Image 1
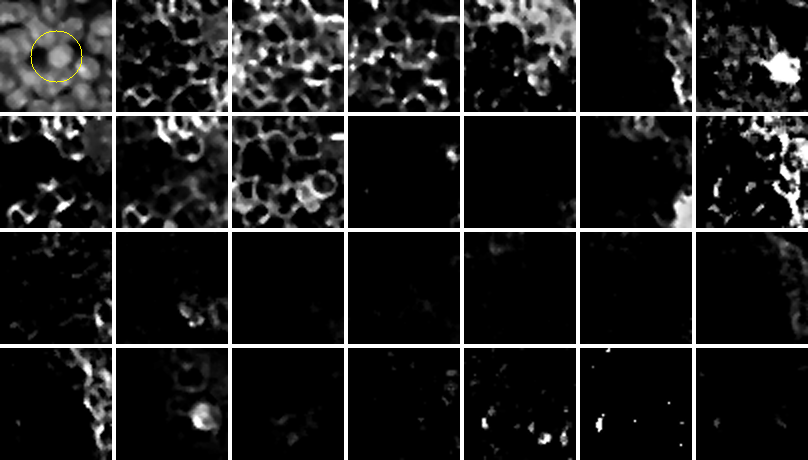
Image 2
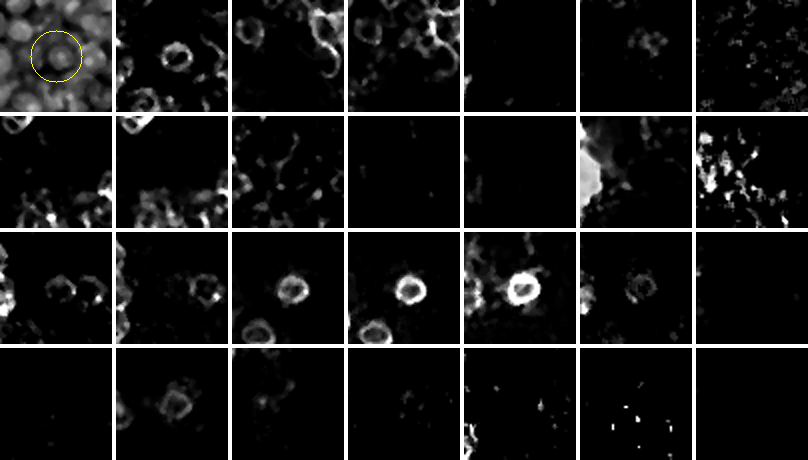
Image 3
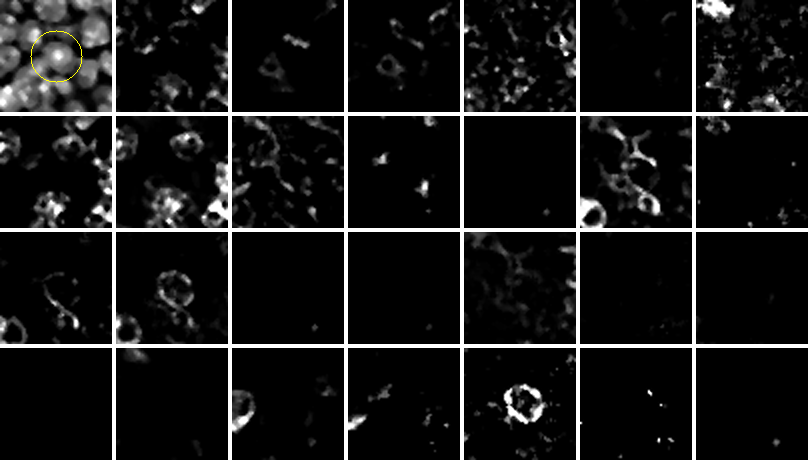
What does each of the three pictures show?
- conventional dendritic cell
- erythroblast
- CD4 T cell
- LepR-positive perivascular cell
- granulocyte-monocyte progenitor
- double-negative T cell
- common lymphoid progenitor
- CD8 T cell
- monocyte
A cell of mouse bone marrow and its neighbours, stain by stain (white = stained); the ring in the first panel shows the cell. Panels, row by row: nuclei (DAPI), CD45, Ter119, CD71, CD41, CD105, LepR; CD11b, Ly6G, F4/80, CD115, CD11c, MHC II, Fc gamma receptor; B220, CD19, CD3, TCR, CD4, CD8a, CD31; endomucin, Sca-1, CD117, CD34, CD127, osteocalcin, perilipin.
1: erythroblast
2: CD4 T cell
3: common lymphoid progenitor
